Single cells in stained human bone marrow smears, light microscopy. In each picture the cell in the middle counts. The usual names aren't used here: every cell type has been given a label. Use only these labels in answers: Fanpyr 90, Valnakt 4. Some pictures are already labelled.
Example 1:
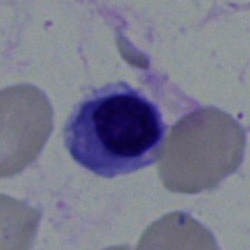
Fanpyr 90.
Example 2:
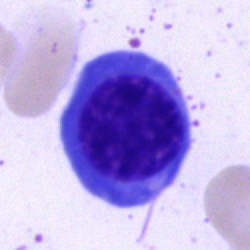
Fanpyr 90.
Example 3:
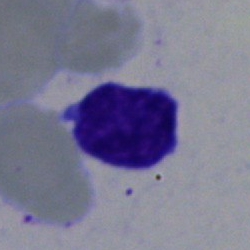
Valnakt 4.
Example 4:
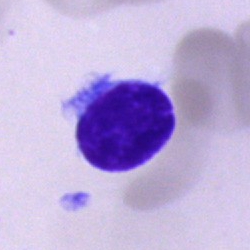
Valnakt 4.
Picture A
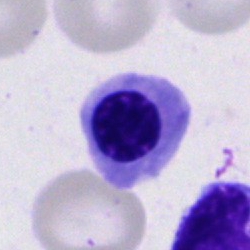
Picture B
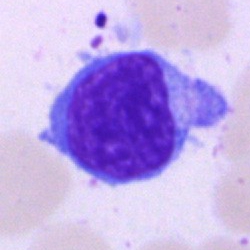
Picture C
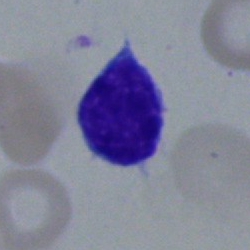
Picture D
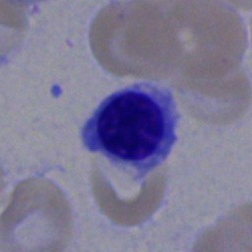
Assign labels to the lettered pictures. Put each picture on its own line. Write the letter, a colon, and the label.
A: Fanpyr 90.
B: Valnakt 4.
C: Valnakt 4.
D: Fanpyr 90.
